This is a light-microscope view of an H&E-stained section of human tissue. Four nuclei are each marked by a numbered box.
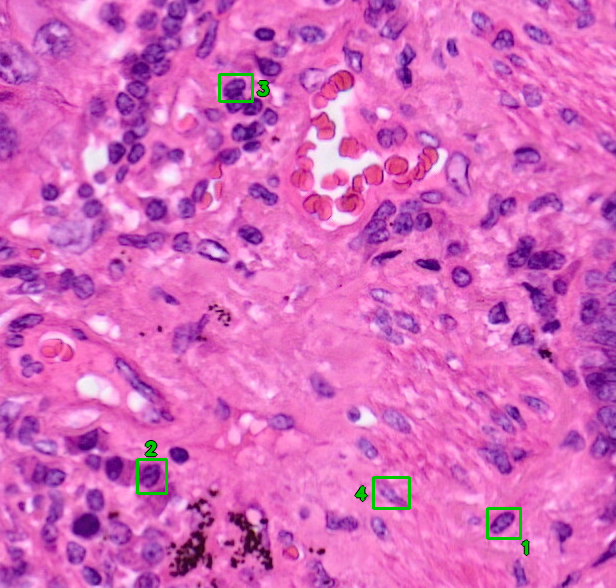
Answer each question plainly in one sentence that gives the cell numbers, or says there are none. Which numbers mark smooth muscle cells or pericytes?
Just one of the numbered cells is a smooth muscle cell or pericyte, namely number 4.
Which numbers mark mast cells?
The numbered cell that is a mast cell is cell 1, and it is the only one.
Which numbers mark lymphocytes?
No marked cell except number 3 is a lymphocyte.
